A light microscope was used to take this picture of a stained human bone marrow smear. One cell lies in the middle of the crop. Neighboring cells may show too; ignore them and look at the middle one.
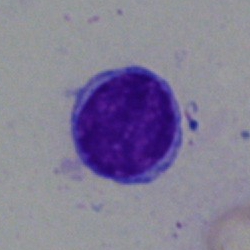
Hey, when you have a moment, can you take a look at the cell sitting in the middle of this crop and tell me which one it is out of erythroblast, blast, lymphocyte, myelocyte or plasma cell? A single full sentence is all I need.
The cell that lies at the centre of the crop is a lymphocyte.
